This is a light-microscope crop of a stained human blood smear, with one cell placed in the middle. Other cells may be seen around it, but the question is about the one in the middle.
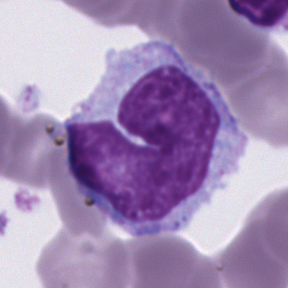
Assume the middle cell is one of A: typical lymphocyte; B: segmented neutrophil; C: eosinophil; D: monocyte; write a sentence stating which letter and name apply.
Option D is the right choice, the central cell being a monocyte.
